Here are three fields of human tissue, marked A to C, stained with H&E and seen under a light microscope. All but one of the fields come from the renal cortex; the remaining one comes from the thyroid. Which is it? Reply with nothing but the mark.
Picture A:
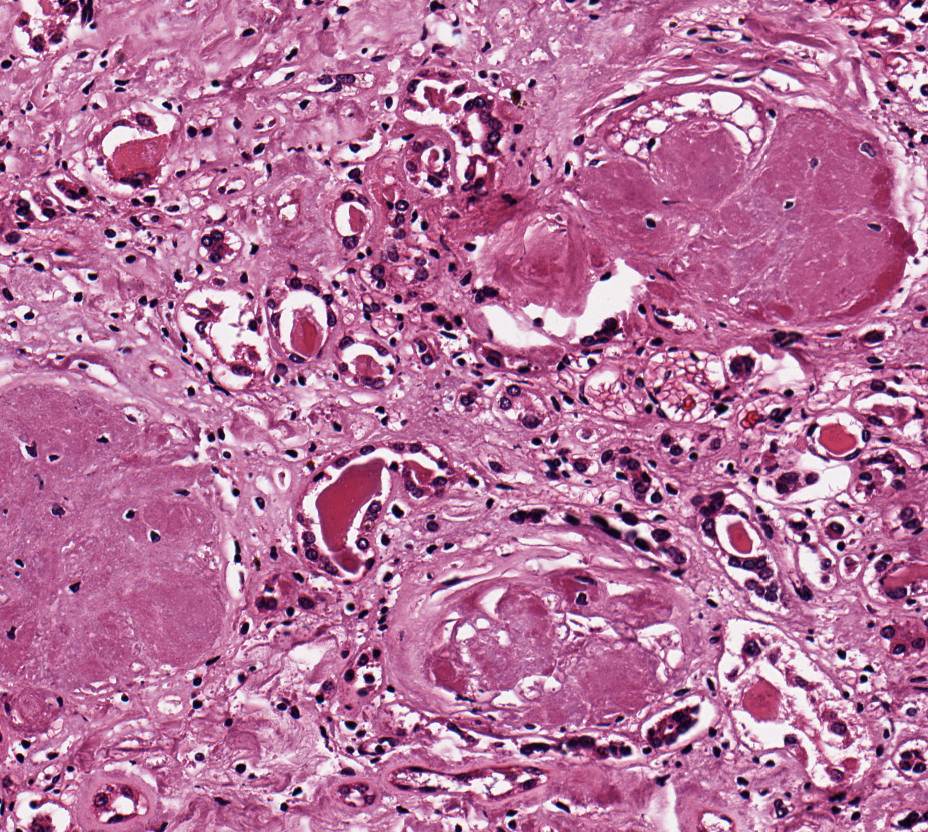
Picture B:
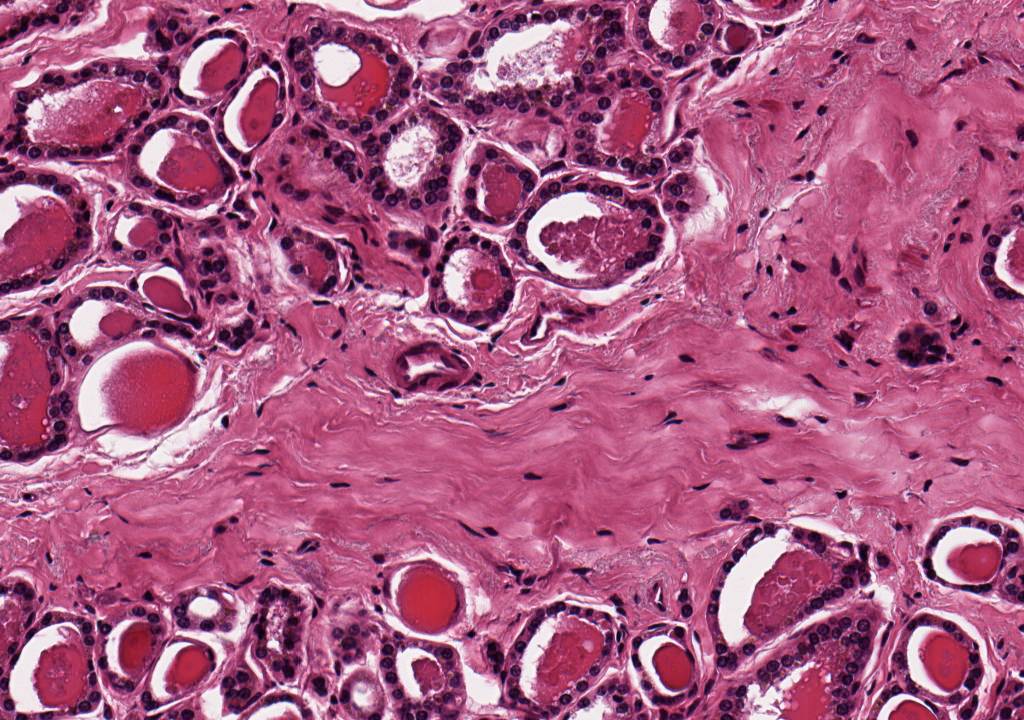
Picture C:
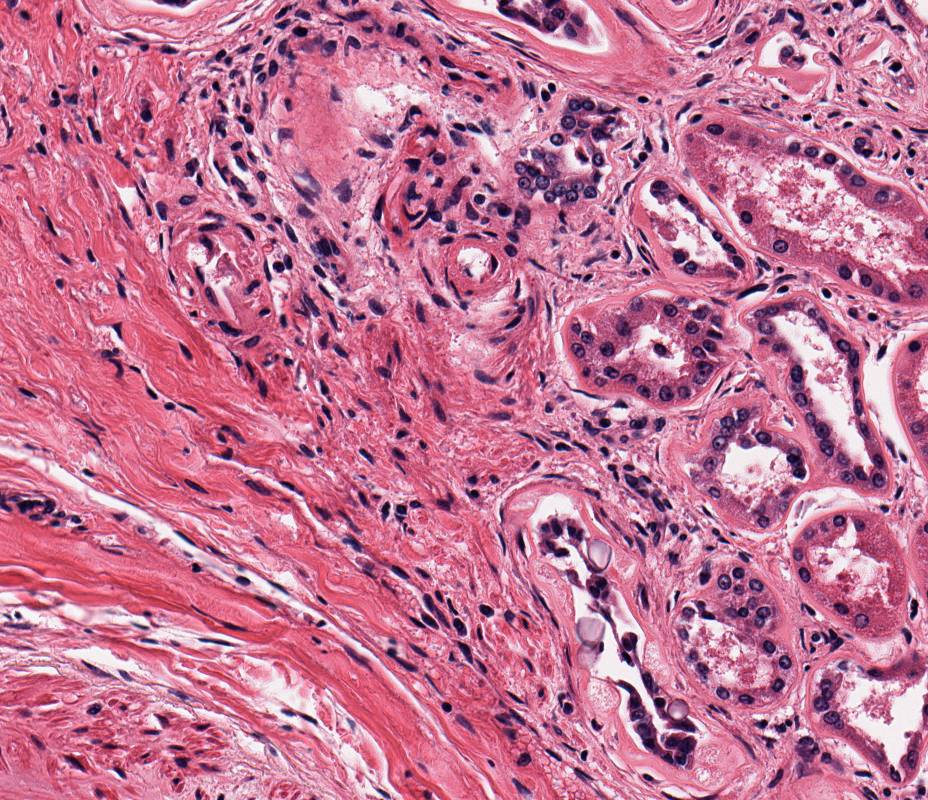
B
